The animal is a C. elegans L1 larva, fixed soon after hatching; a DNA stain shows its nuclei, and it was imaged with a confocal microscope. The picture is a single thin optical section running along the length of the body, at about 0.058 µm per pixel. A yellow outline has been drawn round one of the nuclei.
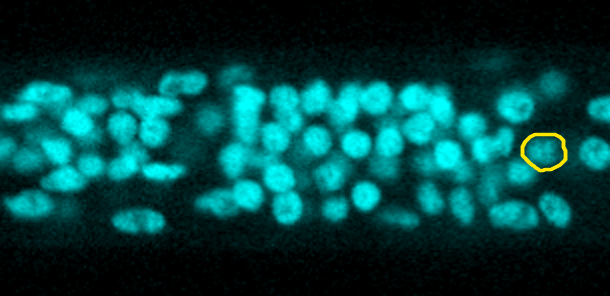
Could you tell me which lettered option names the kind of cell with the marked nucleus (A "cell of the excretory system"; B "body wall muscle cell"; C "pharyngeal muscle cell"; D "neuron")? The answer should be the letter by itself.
C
